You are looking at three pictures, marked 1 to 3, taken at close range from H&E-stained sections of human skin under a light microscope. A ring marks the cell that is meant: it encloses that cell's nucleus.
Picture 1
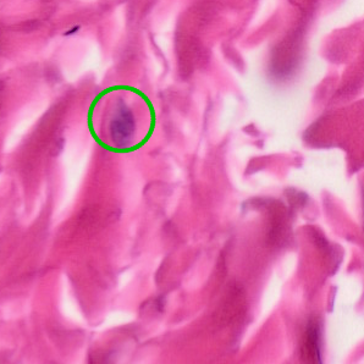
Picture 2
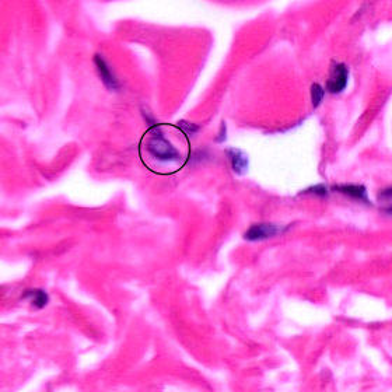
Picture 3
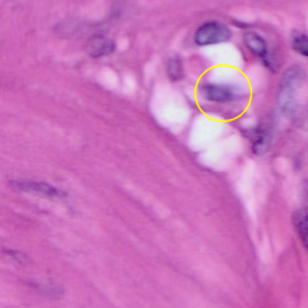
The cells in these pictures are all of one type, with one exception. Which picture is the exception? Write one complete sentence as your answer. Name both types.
Picture 1 differs, because its cell is a fibroblast and the rest are endothelial cells.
